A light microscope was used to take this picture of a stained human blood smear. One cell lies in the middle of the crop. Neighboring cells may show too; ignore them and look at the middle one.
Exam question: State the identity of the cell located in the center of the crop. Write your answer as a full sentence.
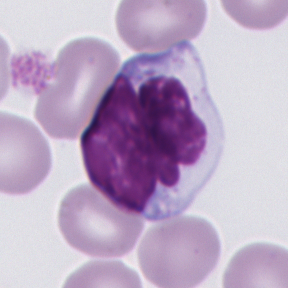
The cell positioned in the middle of the field is a large granular lymphocyte.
